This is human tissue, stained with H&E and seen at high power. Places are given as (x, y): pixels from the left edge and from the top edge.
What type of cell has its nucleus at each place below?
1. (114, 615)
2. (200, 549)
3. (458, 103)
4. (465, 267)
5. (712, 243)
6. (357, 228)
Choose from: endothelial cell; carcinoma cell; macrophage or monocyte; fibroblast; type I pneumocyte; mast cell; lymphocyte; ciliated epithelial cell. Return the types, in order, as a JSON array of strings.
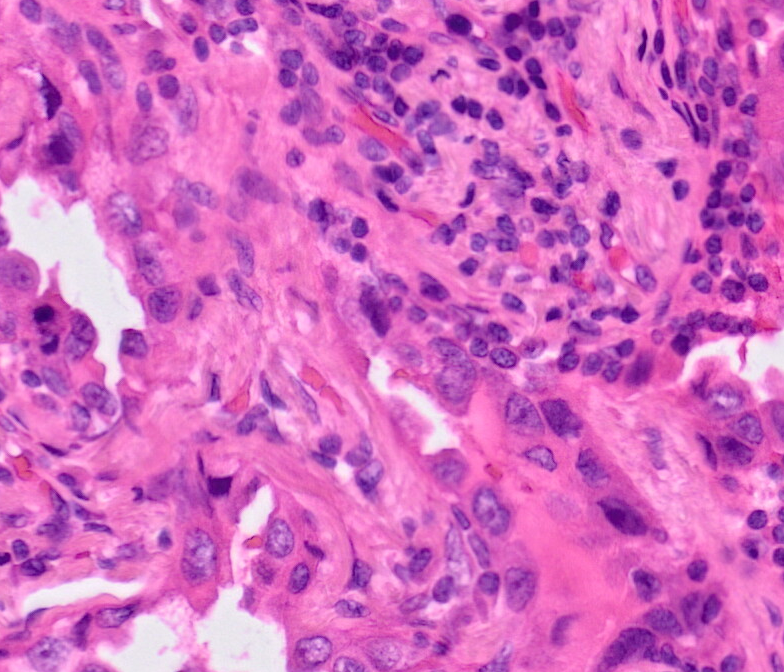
["carcinoma cell", "carcinoma cell", "lymphocyte", "lymphocyte", "lymphocyte", "lymphocyte"]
